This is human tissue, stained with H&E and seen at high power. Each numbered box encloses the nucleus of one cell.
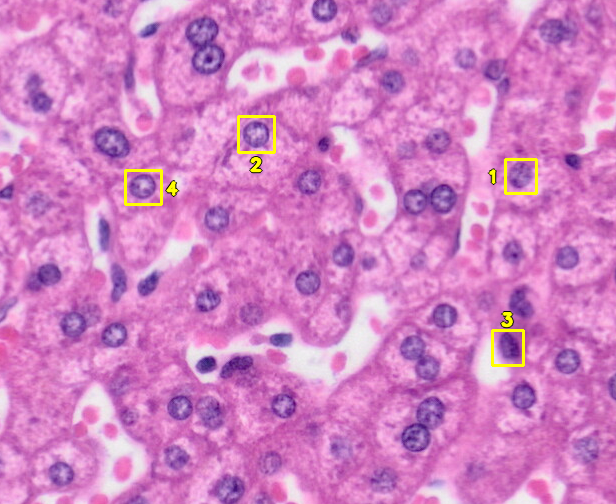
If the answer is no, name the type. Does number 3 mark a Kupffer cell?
Yes.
